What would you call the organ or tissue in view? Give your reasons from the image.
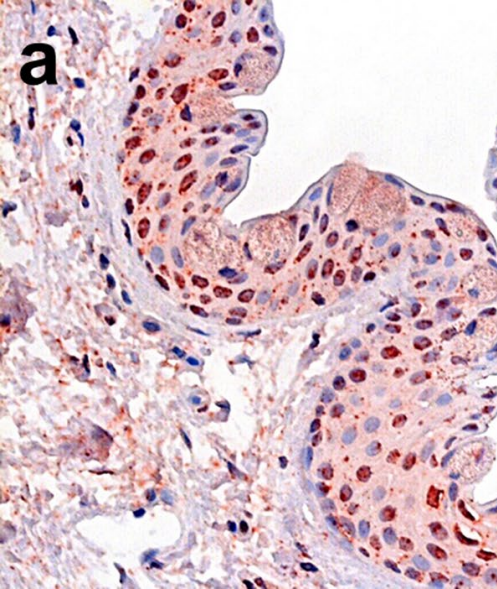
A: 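A folded, multilayered epithelium lies over loose connective tissue. Large rounded mucus-type cells are scattered within the superficial layers of the epithelium. So: conjunctiva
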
